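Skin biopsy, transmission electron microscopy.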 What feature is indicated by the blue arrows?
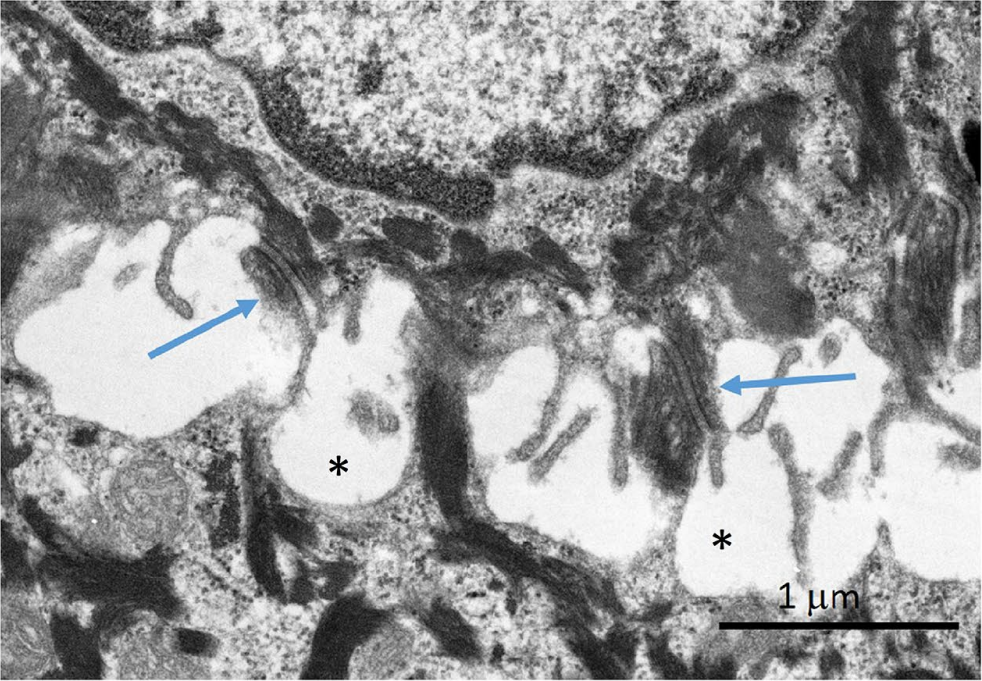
Desmosomes.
